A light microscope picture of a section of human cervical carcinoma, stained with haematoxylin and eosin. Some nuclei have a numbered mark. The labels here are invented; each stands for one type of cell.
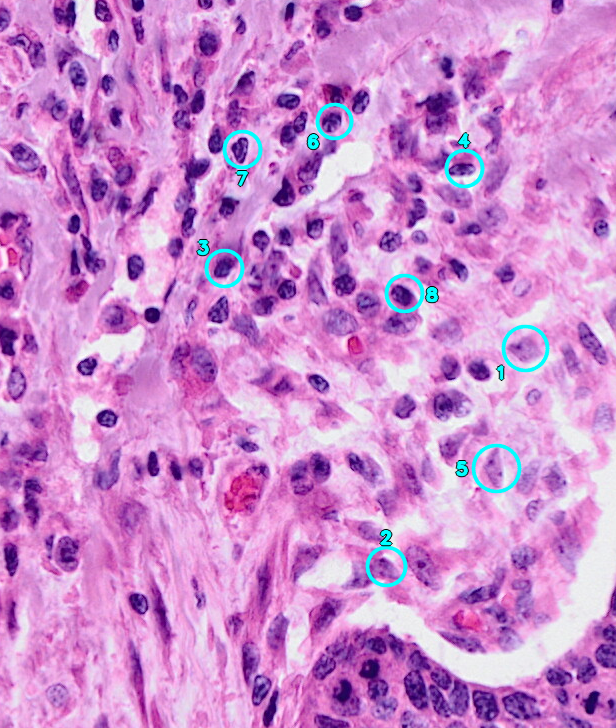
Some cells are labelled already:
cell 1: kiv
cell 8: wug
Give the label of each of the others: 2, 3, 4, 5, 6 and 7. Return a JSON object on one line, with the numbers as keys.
{"2": "kiv", "3": "wug", "4": "wug", "5": "kiv", "6": "wug", "7": "wug"}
